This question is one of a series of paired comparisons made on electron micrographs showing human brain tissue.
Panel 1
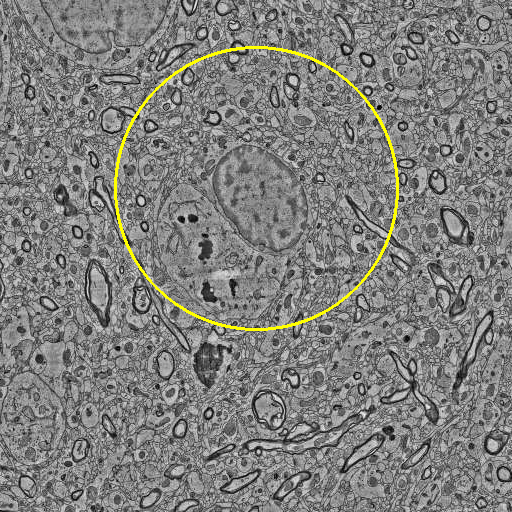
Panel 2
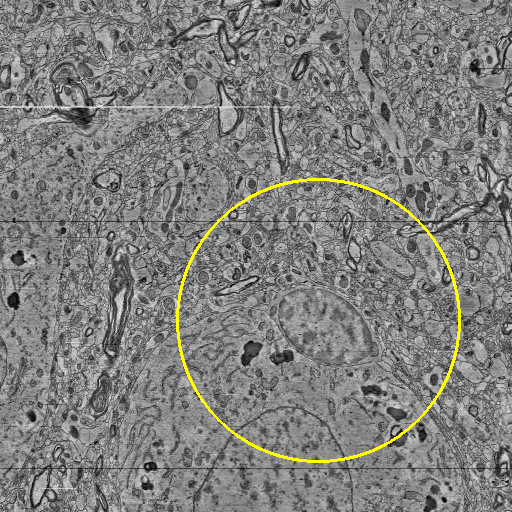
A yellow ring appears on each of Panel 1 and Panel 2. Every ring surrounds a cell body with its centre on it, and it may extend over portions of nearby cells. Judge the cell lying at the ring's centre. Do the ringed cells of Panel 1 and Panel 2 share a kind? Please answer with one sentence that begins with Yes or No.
Yes, the ring-centre cell in Panel 1 and the one in Panel 2 are of one kind.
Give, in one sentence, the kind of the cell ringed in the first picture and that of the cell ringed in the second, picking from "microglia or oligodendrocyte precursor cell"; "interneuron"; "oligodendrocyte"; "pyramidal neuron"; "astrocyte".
Each one of the two ringed cells is an oligodendrocyte.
